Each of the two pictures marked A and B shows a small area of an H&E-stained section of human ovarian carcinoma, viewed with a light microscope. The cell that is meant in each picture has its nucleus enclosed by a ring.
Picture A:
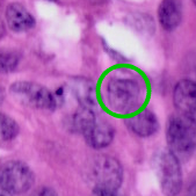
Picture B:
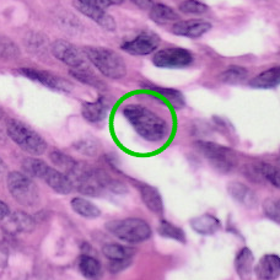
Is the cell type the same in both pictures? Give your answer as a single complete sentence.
Yes, both cells are carcinoma cells.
